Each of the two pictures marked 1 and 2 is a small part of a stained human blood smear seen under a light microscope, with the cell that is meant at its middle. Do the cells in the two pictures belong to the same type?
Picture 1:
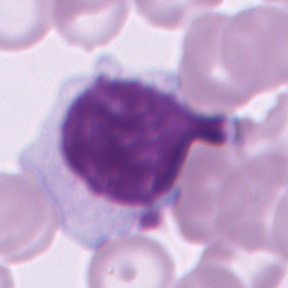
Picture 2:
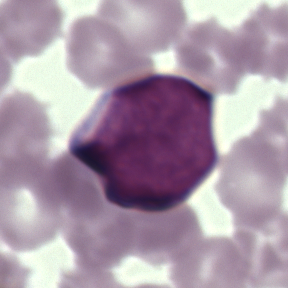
no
